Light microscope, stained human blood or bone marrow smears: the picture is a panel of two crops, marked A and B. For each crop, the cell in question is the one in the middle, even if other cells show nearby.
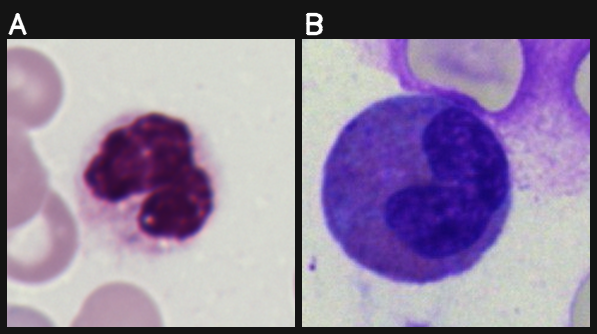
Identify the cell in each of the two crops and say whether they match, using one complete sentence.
No, a segmented neutrophil lies at the centre of crop A, and an eosinophil lies at the centre of crop B.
